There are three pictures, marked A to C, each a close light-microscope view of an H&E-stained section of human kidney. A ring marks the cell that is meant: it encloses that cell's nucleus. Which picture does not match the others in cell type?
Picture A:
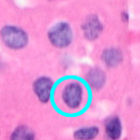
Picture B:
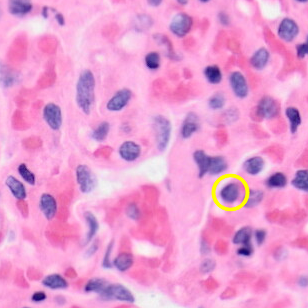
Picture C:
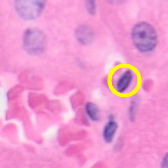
A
